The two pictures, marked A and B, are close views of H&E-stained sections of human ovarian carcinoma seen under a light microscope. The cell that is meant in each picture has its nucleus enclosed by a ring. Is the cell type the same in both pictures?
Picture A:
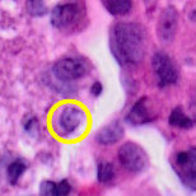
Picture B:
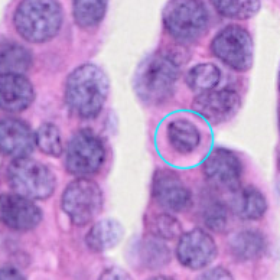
yes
